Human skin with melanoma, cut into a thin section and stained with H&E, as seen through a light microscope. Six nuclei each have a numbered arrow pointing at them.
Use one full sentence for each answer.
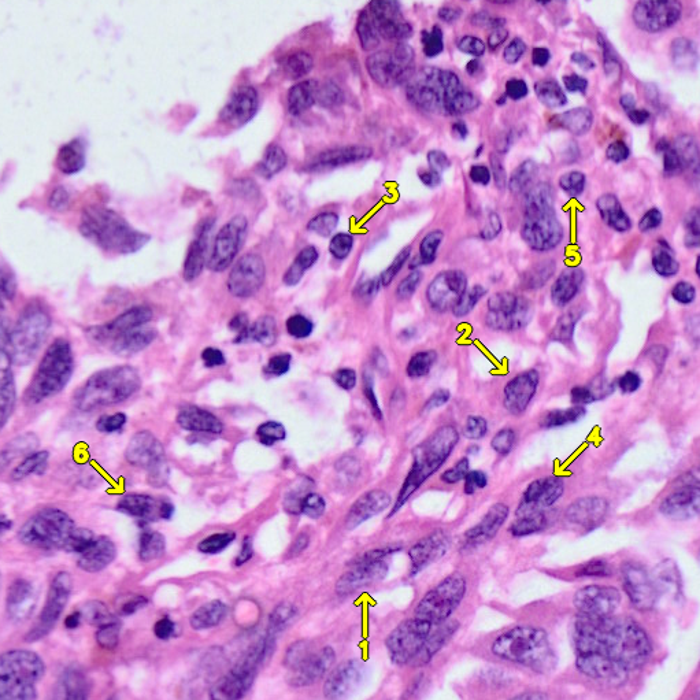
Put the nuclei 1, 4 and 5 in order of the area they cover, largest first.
Largest first, the order by area is 4, 1, 5.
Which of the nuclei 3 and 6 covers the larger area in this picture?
Nucleus 6 is larger, with an area about 1.5 times that of nucleus 3.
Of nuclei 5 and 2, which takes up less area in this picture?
Number 5 is smaller, since number 2 takes up about 2 times as much area.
